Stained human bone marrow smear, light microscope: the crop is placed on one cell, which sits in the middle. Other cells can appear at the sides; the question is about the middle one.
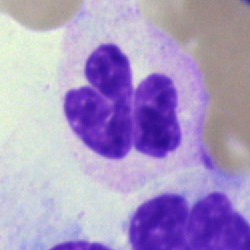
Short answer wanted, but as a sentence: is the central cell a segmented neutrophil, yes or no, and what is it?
Yes, the middle cell of the field is a segmented neutrophil.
